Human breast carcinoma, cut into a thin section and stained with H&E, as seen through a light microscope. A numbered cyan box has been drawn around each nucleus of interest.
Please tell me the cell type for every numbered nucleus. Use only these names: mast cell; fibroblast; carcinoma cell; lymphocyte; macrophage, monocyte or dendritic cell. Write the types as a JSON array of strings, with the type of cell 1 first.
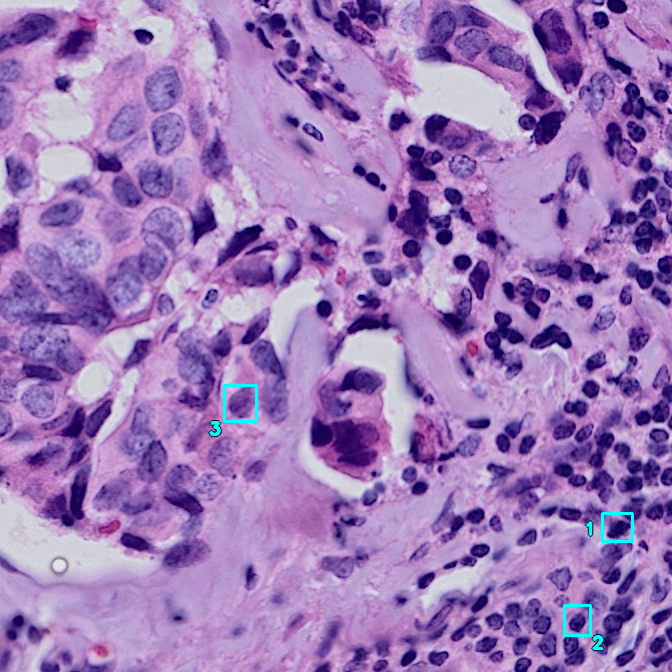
["lymphocyte", "lymphocyte", "carcinoma cell"]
